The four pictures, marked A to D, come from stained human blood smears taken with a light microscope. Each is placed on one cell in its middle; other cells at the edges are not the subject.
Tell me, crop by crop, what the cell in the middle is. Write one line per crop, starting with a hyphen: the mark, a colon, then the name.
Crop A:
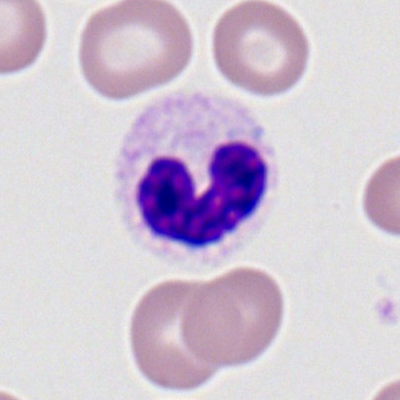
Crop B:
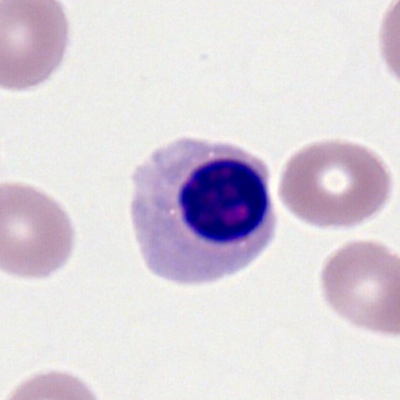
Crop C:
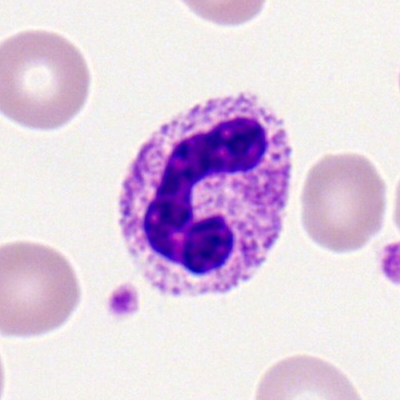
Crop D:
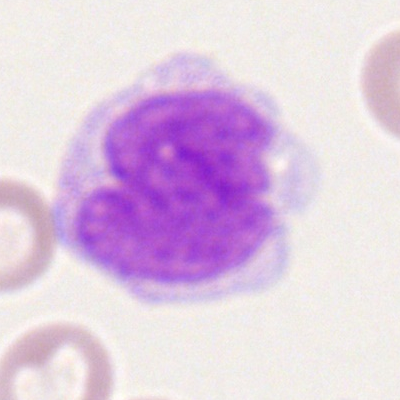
- A: band neutrophil
- B: erythroblast
- C: band neutrophil
- D: monocyte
